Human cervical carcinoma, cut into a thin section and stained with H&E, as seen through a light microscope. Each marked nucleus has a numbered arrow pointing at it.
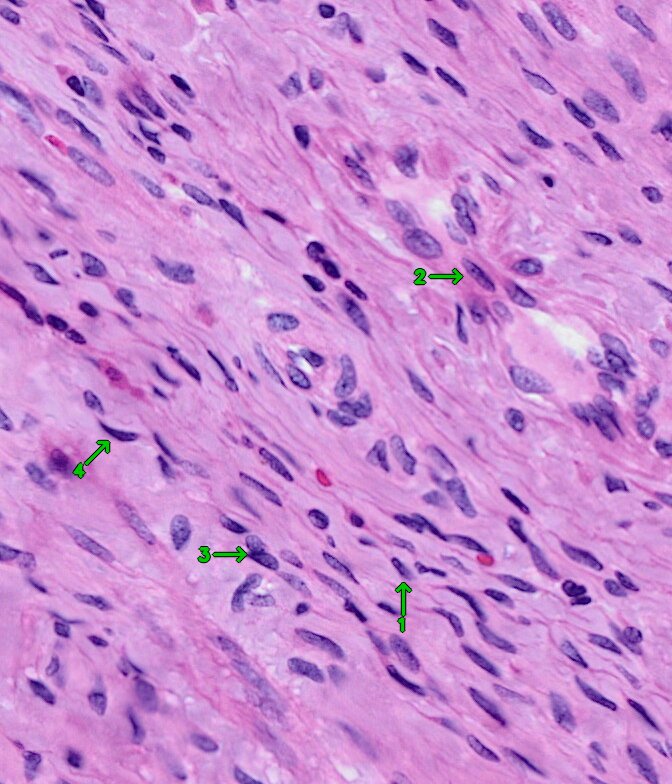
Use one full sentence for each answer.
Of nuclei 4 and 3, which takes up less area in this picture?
The smaller nucleus is 4, and 3 covers roughly 1.5 times its area.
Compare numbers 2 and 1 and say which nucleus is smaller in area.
It is nucleus 1; nucleus 2 has about 1.5 times its area.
